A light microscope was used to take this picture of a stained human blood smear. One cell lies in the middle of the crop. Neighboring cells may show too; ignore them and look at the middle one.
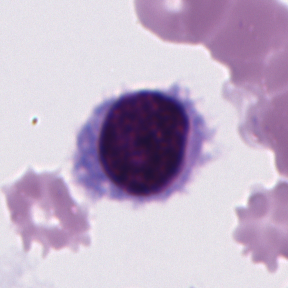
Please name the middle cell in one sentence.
Positioned in the middle of the crop is a hairy cell.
